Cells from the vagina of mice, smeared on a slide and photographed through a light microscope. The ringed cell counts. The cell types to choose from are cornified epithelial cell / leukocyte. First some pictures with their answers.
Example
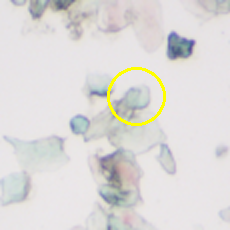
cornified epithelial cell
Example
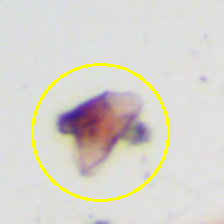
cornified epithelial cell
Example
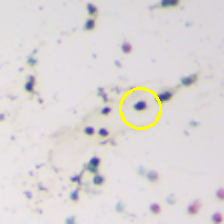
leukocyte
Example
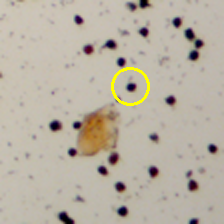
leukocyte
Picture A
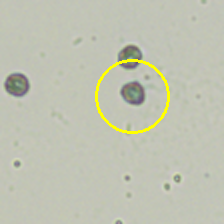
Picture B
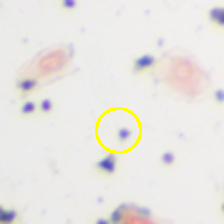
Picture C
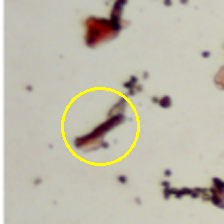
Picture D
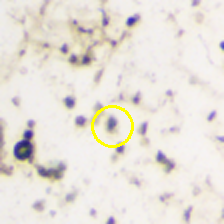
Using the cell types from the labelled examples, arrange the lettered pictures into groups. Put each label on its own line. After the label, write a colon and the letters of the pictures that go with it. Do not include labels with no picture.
cornified epithelial cell: C
leukocyte: A, B, D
